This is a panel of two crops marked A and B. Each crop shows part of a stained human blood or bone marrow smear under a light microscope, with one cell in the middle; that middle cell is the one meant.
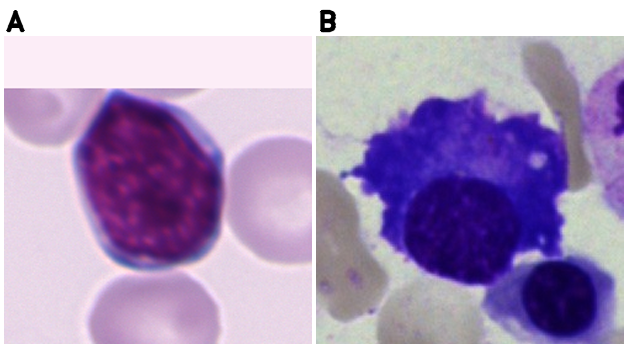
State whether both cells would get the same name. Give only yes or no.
no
